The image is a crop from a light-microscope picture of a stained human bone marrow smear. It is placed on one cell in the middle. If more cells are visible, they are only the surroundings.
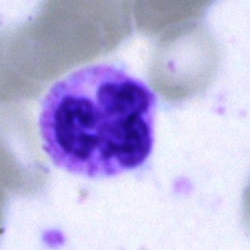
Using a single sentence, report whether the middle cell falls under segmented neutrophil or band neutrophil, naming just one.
The central cell, amid any neighbouring cells, is a segmented neutrophil.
